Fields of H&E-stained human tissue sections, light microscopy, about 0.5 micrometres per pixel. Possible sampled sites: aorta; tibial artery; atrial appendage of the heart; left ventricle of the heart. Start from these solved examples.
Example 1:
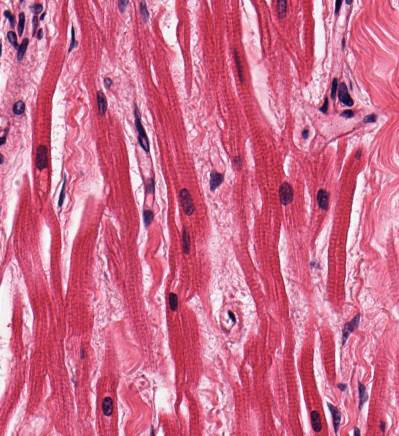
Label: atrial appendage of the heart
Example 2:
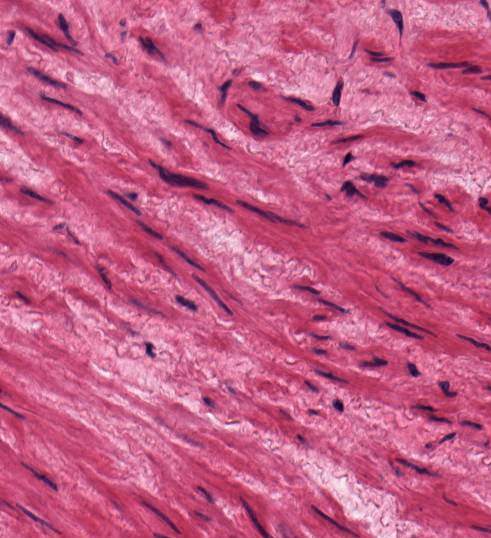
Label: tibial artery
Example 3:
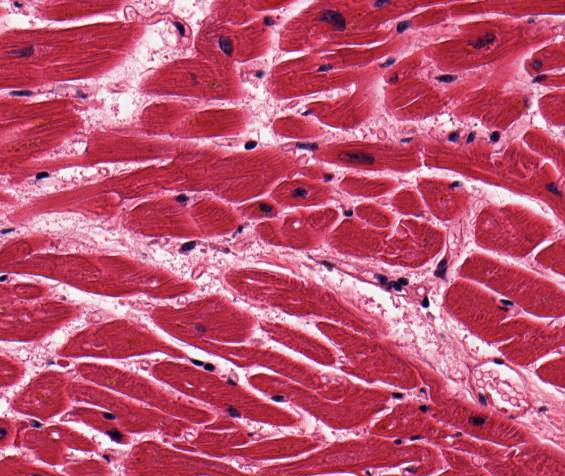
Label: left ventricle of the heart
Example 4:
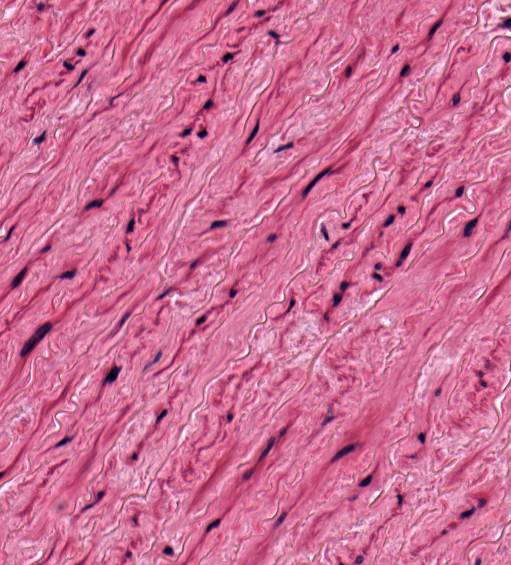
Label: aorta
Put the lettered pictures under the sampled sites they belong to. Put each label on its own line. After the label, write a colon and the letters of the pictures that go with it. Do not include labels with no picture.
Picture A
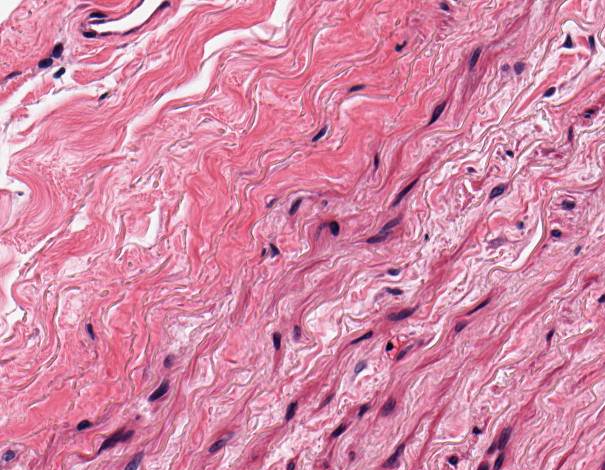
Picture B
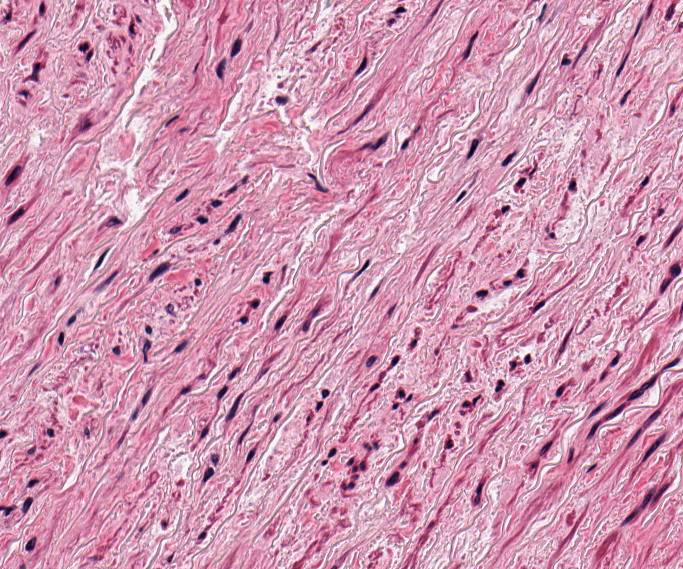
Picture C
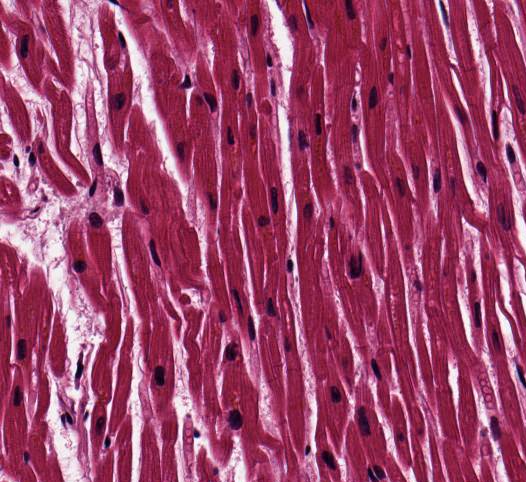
aorta: A, B
left ventricle of the heart: C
